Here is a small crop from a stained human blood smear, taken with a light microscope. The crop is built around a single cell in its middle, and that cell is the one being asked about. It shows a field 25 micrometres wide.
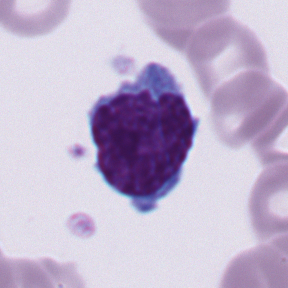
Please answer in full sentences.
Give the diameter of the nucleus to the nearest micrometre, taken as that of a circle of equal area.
The diameter of the nucleus comes to about 9 micrometres.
